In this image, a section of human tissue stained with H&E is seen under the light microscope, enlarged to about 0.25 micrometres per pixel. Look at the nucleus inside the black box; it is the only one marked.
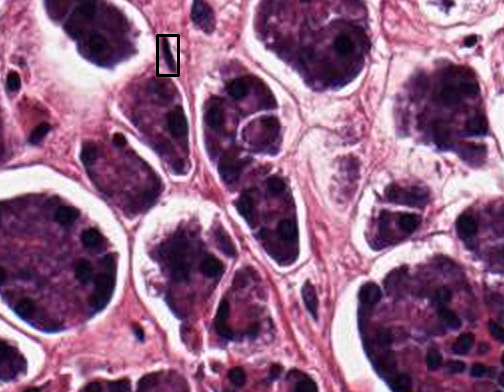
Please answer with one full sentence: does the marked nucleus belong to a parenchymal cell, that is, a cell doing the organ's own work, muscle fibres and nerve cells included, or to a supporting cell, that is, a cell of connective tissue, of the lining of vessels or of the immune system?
A supporting cell is the cell whose nucleus is marked.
